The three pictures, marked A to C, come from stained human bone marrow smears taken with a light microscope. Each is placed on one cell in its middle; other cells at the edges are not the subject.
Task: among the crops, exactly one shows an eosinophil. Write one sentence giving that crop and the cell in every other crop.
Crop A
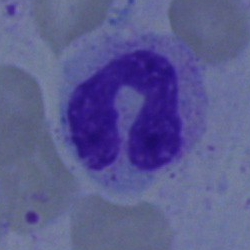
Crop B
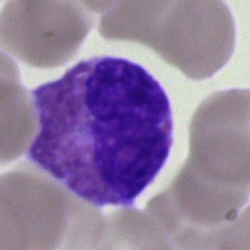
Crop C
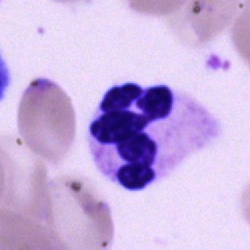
In this set, crop B shows an eosinophil, whereas crop A is a band neutrophil and crop C is a segmented neutrophil.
